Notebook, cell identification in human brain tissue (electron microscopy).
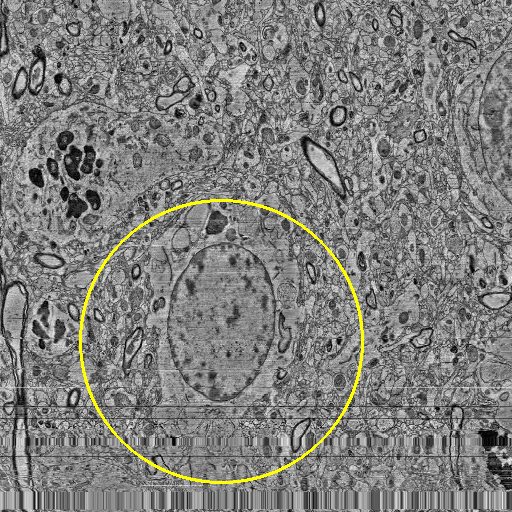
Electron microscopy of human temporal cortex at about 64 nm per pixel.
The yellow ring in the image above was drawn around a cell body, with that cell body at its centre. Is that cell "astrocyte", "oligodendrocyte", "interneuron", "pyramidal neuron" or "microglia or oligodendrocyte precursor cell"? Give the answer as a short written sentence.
The cell in the ring is an astrocyte.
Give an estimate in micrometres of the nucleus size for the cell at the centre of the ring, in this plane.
Roughly 10 by 7 micrometres in this plane, for the nucleus of the ringed cell.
